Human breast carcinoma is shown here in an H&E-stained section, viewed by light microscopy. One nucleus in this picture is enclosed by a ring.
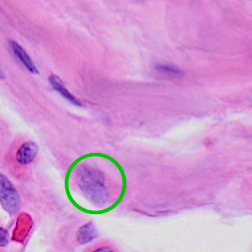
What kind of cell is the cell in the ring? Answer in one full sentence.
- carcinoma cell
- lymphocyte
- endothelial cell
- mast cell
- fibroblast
Cell type answer for this item: the cell in the ring is a fibroblast.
